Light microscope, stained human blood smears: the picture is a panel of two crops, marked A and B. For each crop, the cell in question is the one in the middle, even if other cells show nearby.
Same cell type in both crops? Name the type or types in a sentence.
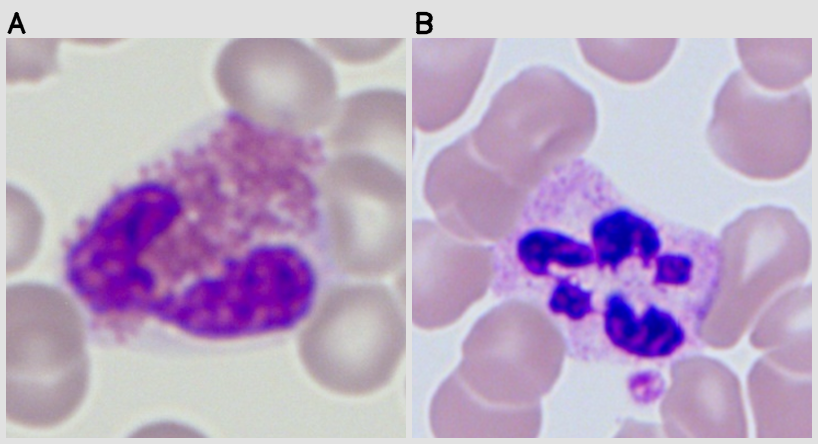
No, crop B holds a segmented neutrophil, while crop A holds an eosinophil.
